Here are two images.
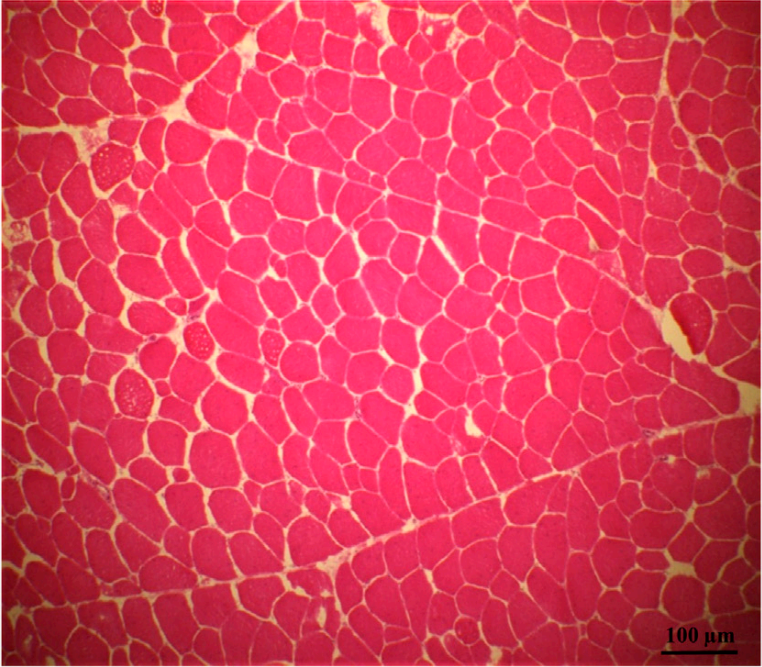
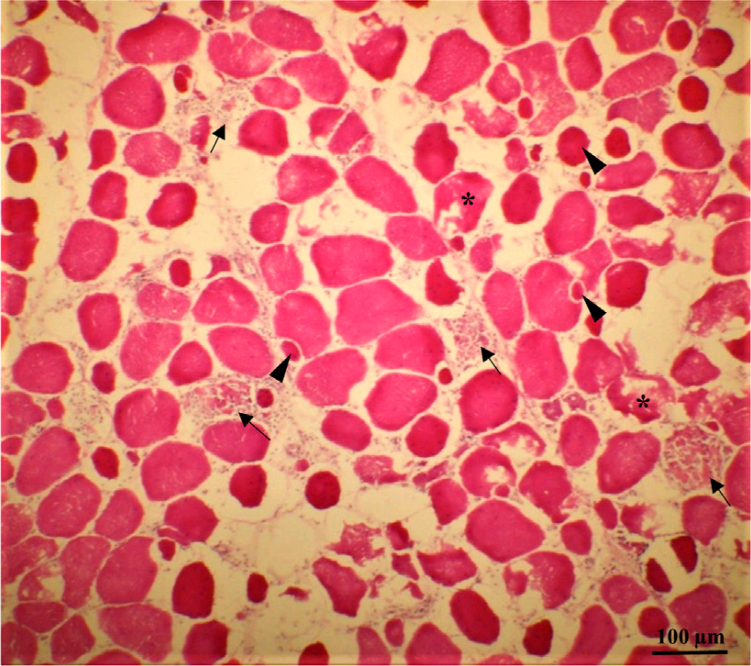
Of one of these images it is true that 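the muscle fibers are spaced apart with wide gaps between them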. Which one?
The second image.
